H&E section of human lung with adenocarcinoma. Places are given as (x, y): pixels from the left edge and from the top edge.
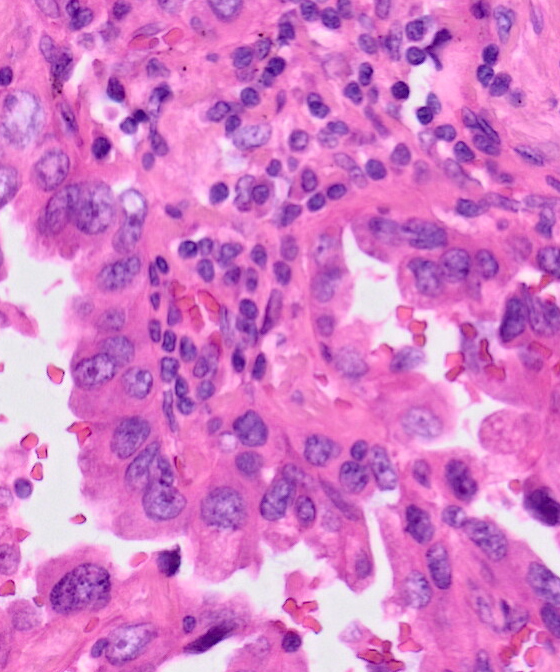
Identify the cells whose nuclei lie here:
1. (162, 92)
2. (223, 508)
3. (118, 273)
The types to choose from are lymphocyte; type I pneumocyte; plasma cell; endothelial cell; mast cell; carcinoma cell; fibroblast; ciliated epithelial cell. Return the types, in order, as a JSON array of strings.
["lymphocyte", "carcinoma cell", "carcinoma cell"]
